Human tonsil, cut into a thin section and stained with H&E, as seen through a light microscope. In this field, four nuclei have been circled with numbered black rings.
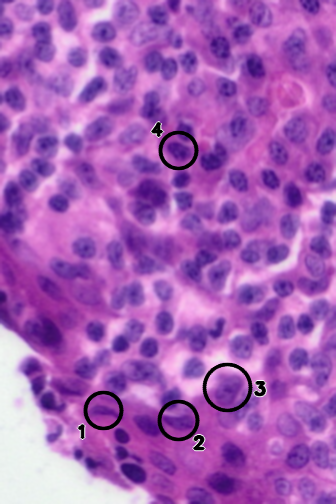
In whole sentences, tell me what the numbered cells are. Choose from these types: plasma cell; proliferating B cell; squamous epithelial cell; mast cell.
Cell 1 is a squamous epithelial cell, cell 2 is a squamous epithelial cell, cell 3 is a squamous epithelial cell and cell 4 is a plasma cell.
